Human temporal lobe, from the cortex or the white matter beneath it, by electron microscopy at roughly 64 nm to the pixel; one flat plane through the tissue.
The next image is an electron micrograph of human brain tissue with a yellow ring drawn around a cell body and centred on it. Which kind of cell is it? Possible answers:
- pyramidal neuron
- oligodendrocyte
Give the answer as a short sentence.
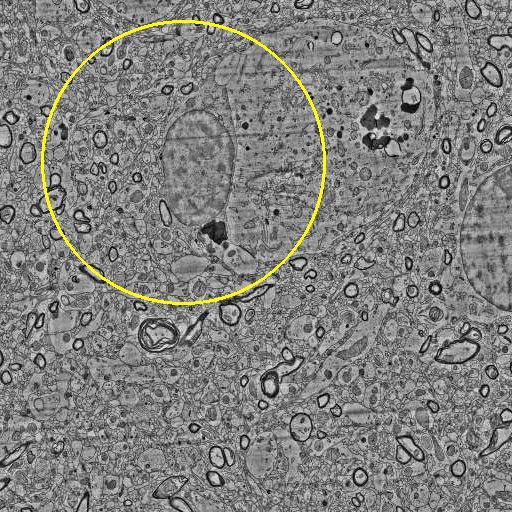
In the ring's centre is an oligodendrocyte.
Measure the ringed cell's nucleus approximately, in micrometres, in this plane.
In this plane, approximately 8 by 5 micrometers.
